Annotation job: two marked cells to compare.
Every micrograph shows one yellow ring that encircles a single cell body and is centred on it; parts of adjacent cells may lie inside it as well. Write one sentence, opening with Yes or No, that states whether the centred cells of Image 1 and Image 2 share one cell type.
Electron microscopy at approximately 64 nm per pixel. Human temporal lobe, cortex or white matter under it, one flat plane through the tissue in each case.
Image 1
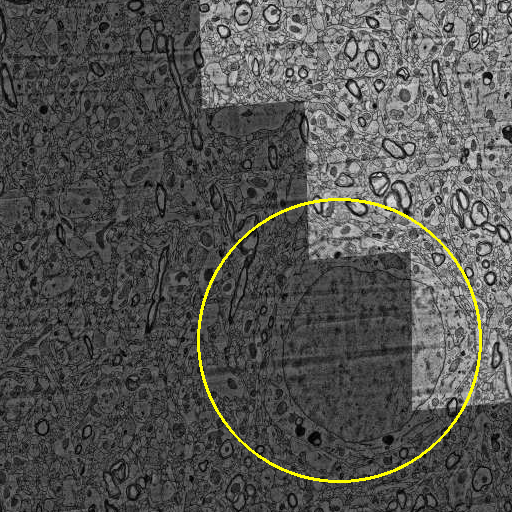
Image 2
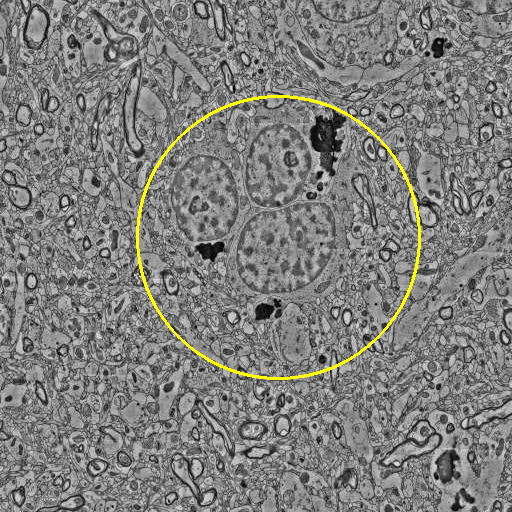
No, the cell centred in Image 1 and the cell centred in Image 2 are of two types.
